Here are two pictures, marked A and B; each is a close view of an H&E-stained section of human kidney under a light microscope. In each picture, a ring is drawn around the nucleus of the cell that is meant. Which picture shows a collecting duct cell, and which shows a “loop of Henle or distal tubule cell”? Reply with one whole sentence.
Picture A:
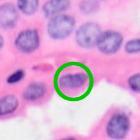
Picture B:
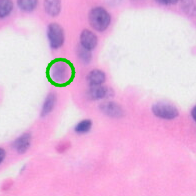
Picture A shows a “loop of Henle or distal tubule cell” and picture B shows a collecting duct cell.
